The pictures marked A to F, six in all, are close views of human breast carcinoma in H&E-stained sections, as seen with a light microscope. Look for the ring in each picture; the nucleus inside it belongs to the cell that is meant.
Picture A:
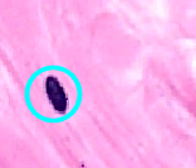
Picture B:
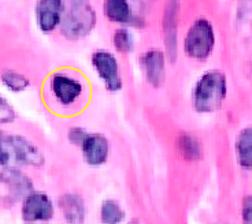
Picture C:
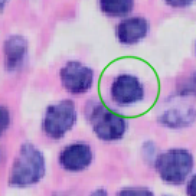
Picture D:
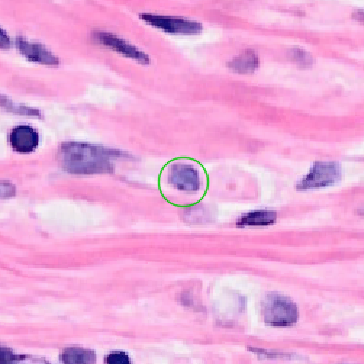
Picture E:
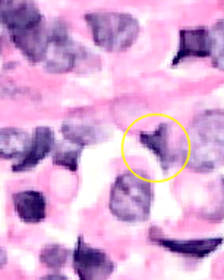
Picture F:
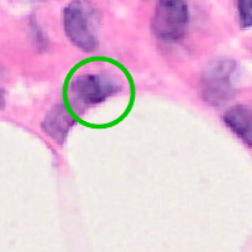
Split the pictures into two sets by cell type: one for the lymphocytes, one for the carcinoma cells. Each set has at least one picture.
A: lymphocyte
B: lymphocyte
C: lymphocyte
D: lymphocyte
E: carcinoma cell
F: carcinoma cell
